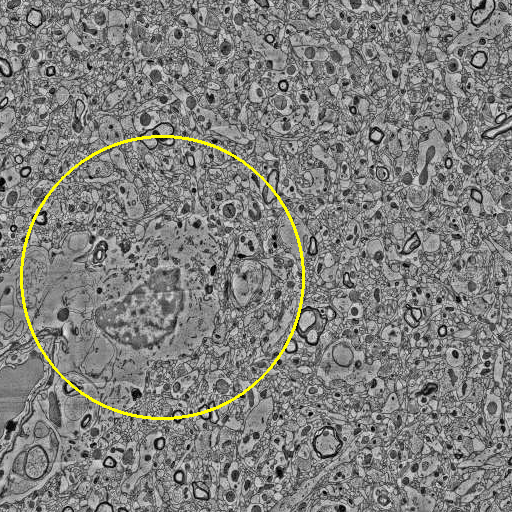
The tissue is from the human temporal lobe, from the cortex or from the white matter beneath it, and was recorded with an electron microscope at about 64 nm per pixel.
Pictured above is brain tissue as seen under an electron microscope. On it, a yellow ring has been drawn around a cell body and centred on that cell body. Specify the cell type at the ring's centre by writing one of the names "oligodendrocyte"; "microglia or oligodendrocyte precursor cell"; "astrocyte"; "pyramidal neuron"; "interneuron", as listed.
microglia or oligodendrocyte precursor cell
